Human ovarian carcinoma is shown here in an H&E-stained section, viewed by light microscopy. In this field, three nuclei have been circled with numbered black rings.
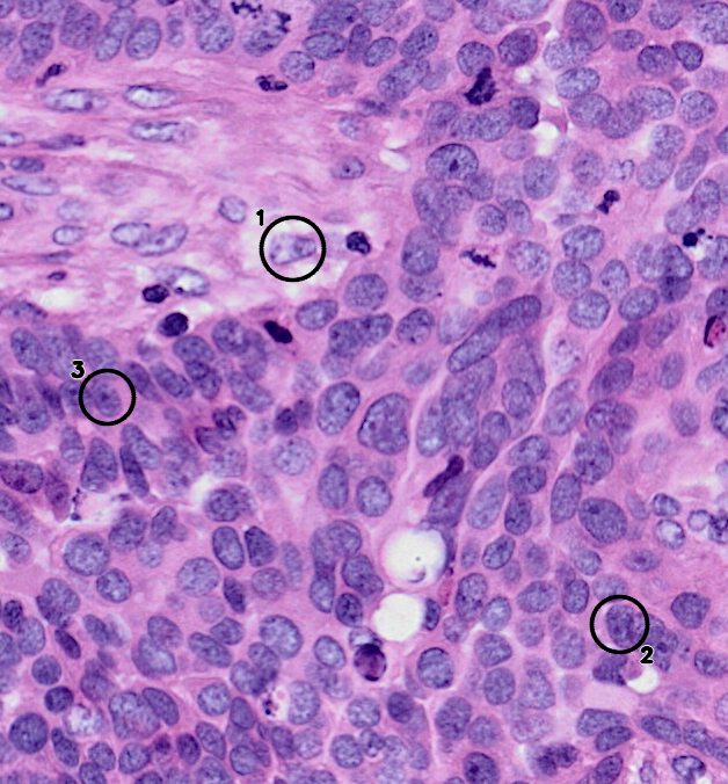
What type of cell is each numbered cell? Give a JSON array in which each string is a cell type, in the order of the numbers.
["fibroblast", "carcinoma cell", "carcinoma cell"]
